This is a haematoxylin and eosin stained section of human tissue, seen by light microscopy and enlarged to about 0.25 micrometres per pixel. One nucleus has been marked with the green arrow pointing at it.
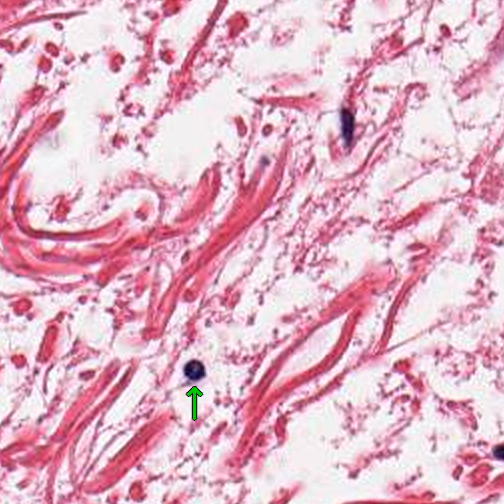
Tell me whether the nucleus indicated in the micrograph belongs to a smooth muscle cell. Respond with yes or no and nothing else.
no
